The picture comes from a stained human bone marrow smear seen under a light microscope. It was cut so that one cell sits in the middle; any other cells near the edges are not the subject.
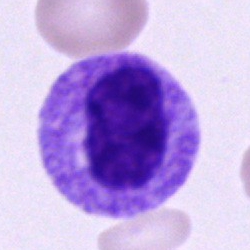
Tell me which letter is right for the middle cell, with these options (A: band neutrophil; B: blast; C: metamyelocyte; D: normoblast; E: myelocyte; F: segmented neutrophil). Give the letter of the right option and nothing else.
E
